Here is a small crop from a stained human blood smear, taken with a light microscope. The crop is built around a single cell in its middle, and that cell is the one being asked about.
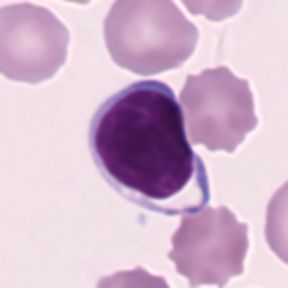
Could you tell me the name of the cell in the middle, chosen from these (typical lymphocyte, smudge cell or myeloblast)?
typical lymphocyte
